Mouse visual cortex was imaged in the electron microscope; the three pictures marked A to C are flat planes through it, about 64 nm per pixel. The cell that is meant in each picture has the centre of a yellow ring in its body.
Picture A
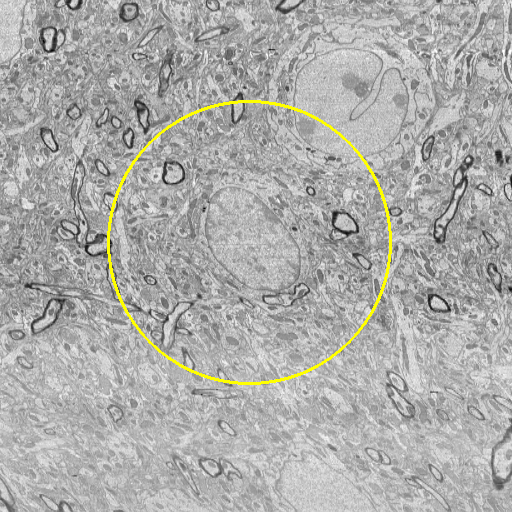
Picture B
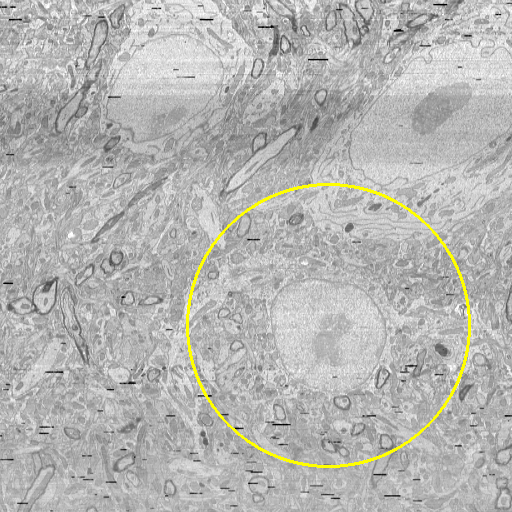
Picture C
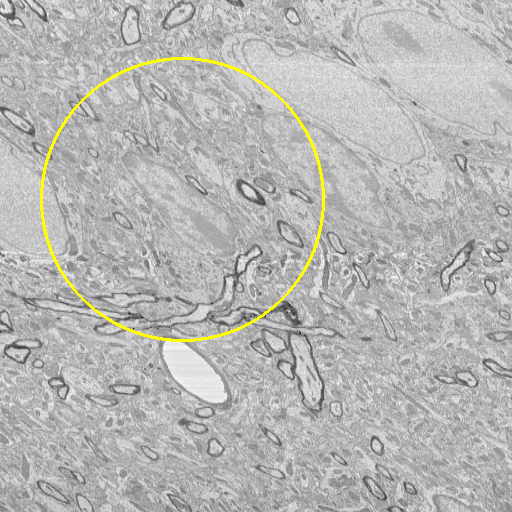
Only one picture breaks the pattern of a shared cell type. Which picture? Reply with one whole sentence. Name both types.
Picture B is the odd one out: it shows an astrocyte, while the others show oligodendrocytes.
